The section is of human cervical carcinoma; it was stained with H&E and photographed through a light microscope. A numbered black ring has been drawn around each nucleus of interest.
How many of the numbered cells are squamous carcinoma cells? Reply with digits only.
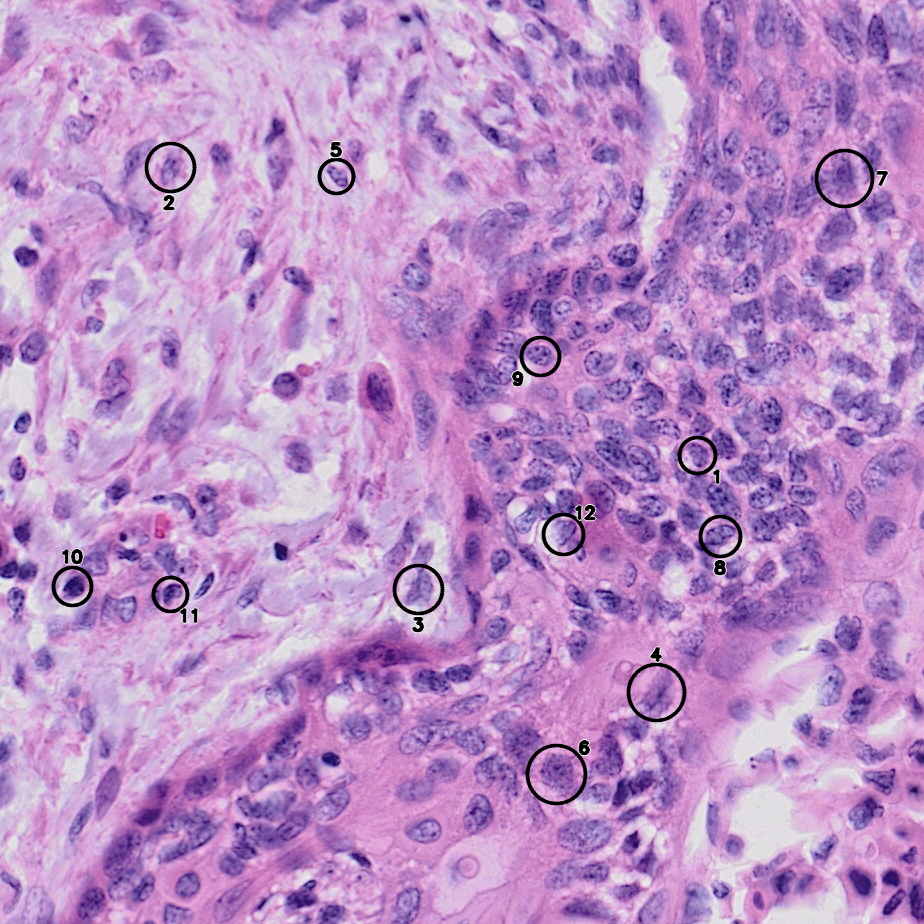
7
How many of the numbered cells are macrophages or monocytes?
1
